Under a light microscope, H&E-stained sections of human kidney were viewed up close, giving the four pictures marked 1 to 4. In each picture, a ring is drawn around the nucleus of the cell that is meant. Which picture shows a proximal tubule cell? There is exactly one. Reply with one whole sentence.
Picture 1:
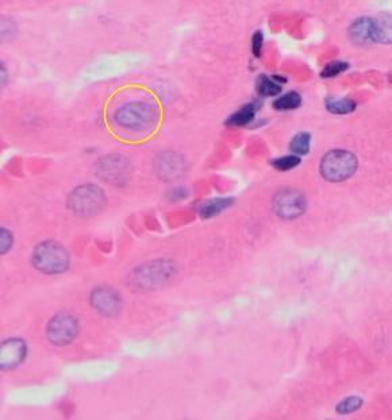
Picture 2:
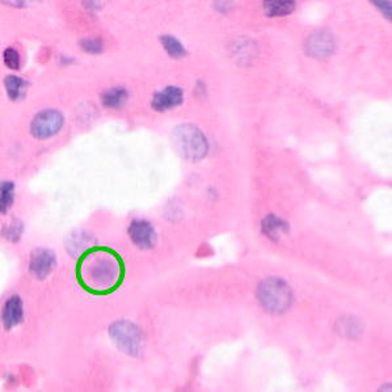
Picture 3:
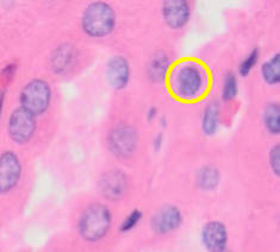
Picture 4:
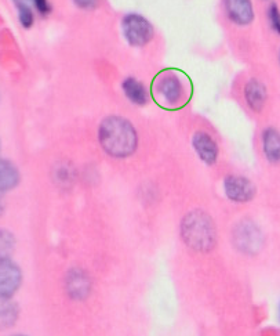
Picture 1 shows the proximal tubule cell.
